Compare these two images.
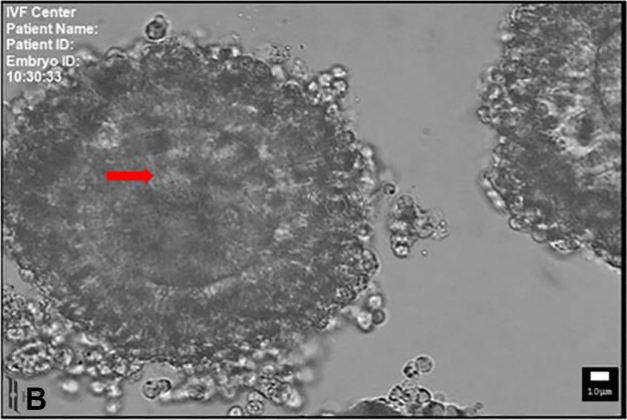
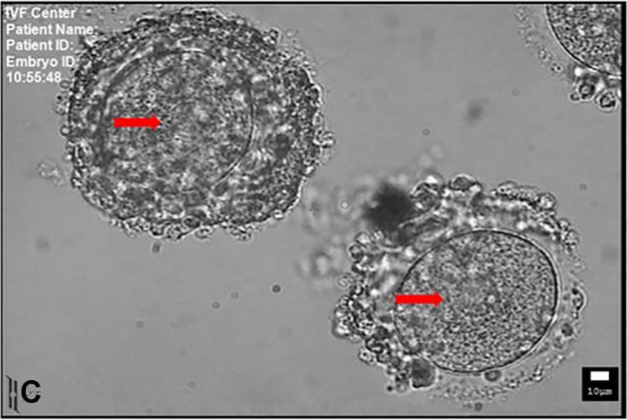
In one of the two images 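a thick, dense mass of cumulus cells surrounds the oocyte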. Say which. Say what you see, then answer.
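The first image. Second image: each large round cell is ringed by a relatively thin layer of small cells, its outline clearly visible. First image: the large round cell is buried in a broad, dense layer of small cells that obscures its outline.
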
